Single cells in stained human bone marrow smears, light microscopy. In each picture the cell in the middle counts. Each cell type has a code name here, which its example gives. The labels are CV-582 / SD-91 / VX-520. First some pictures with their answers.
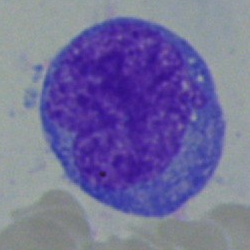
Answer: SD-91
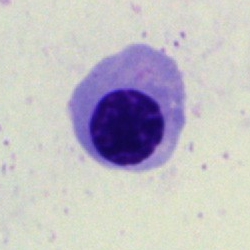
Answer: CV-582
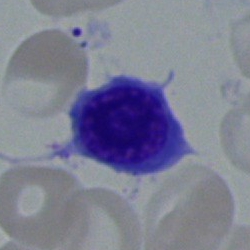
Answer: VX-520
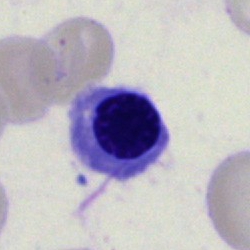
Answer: CV-582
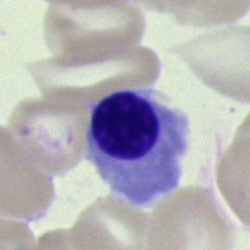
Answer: CV-582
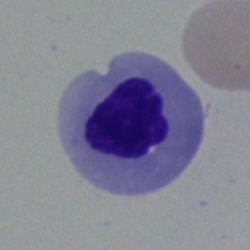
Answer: CV-582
